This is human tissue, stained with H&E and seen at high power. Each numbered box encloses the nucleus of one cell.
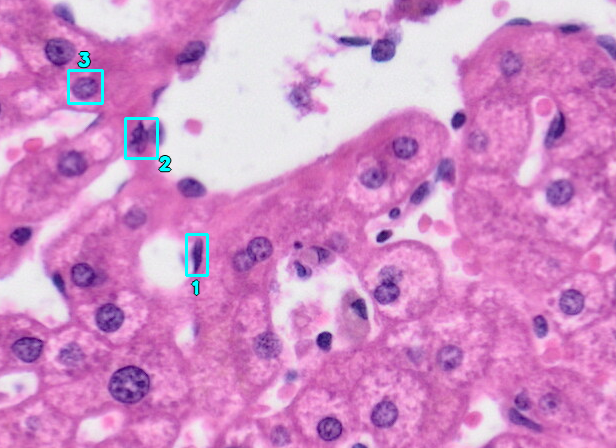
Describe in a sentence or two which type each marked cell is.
Cell 1 is a fibroblast or stellate cell, cell 2 is a fibroblast or stellate cell and cell 3 is a hepatocyte.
